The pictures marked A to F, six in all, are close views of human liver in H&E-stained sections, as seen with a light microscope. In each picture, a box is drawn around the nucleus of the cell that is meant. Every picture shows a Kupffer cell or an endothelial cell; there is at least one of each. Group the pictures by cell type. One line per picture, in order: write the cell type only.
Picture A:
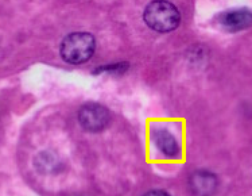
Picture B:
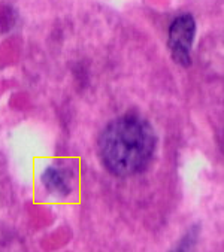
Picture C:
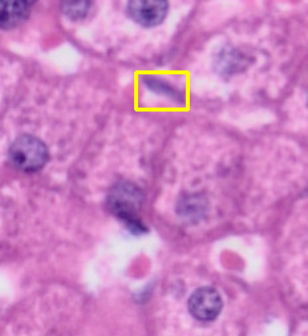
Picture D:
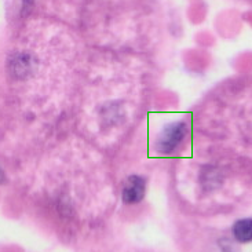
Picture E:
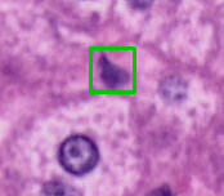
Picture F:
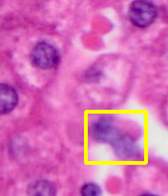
Kupffer cell
endothelial cell
Kupffer cell
endothelial cell
endothelial cell
Kupffer cell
